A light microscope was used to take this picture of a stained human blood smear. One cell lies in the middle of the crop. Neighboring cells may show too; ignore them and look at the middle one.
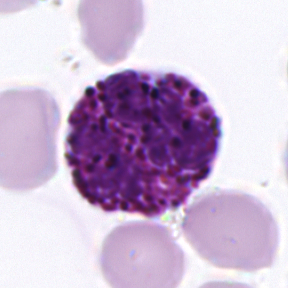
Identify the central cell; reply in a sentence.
The central element of this crop is a cell, namely a basophil.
